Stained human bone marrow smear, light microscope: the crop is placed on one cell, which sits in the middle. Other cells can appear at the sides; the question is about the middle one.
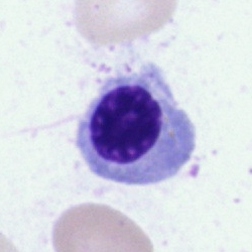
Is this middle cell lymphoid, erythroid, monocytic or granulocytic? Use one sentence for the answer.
The cell occupying the middle of the crop is classified within the erythroid lineage.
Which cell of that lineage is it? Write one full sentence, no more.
As for the central cell, it is an erythroblast.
